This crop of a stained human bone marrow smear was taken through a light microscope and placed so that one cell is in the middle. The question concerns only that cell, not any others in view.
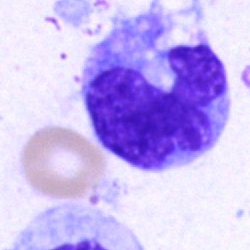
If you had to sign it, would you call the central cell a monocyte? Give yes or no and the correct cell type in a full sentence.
Yes, the middle cell here is a monocyte.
